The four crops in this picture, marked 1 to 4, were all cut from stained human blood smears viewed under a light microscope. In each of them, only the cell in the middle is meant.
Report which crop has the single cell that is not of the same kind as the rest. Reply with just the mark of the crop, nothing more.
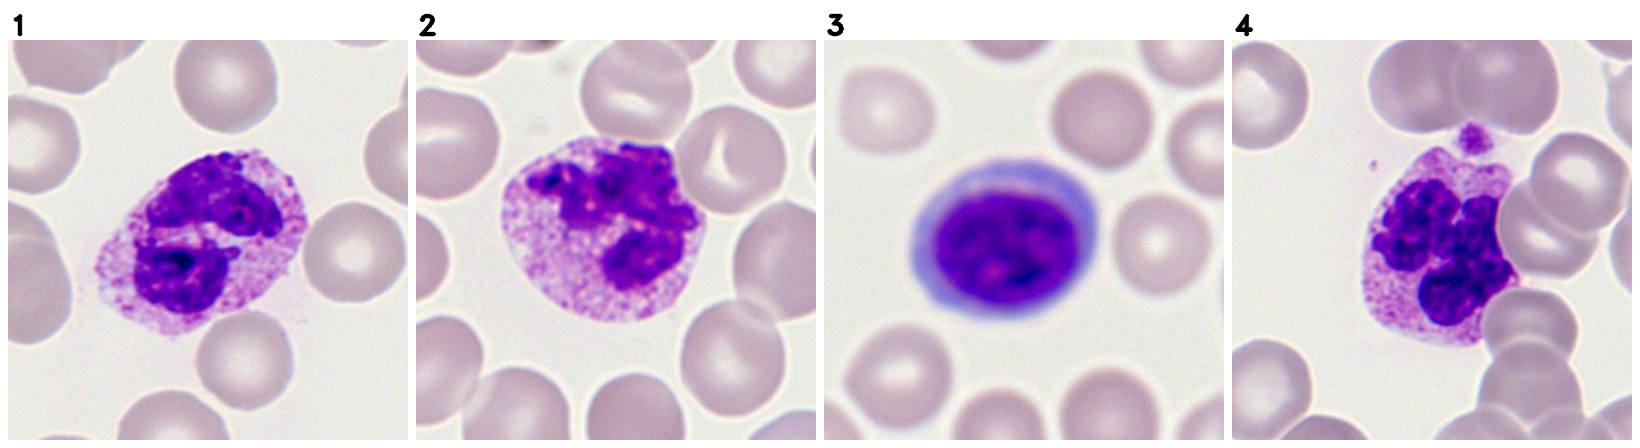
3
